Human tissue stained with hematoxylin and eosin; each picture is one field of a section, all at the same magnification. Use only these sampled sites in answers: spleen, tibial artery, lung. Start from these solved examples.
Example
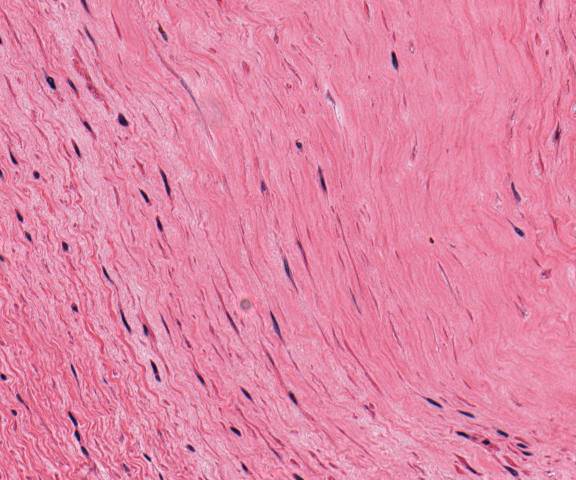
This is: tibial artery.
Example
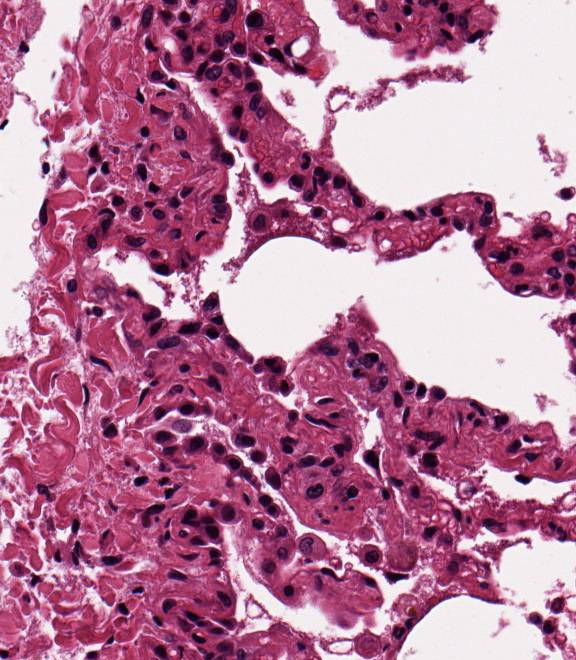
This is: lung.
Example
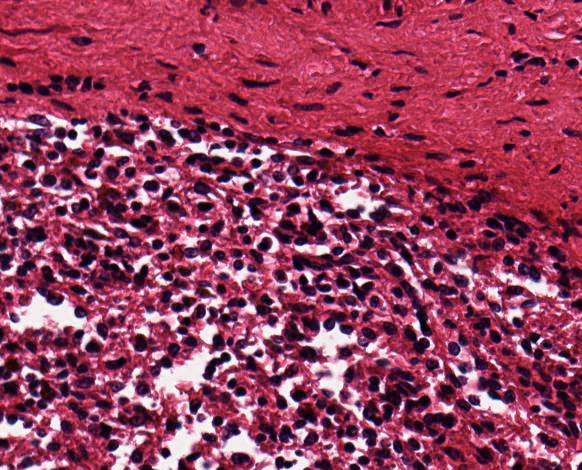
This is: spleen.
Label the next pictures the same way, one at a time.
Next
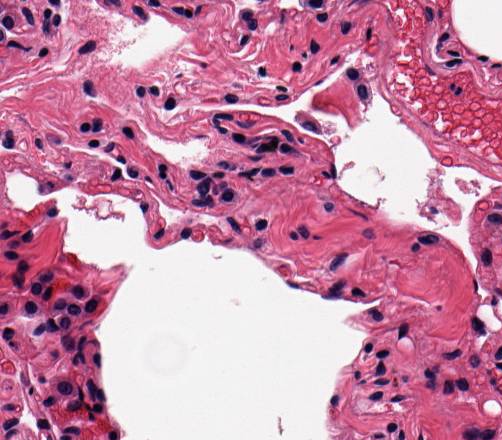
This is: lung.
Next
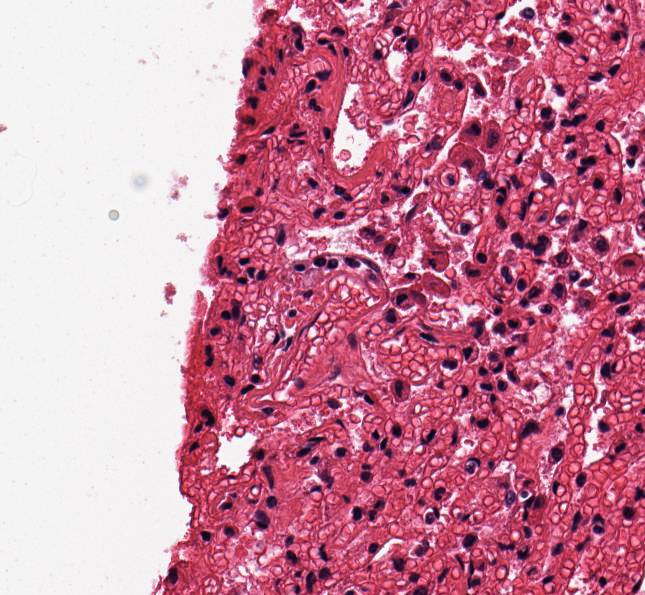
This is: lung.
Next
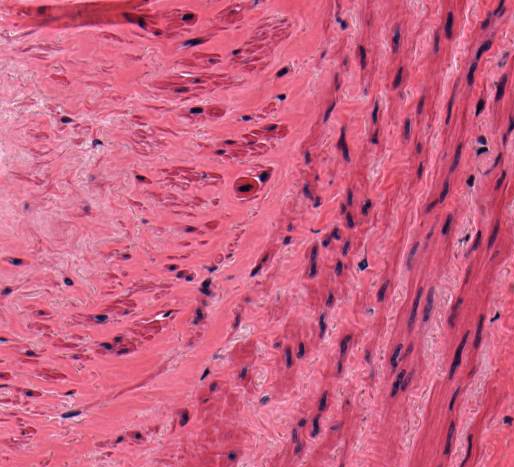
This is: tibial artery.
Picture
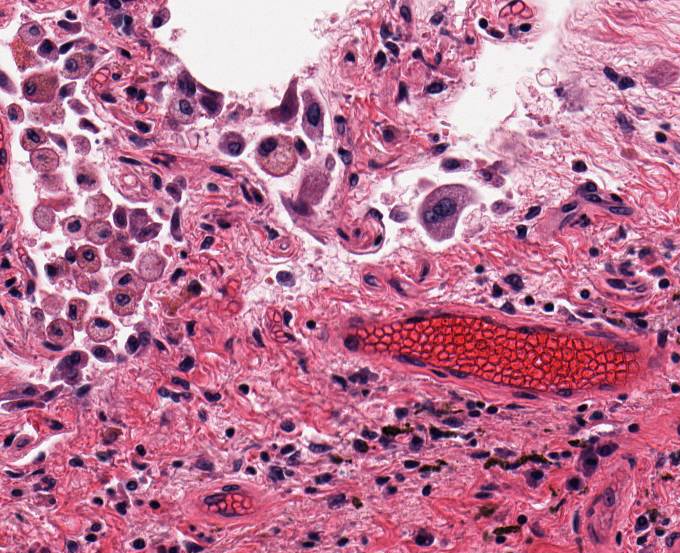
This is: lung.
